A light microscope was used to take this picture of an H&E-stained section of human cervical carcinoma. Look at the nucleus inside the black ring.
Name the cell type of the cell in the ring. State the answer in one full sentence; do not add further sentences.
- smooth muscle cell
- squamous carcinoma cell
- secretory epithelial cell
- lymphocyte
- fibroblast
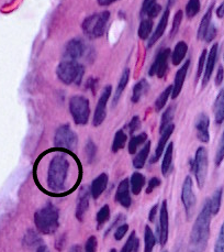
On this particular slide, the cell in the ring is a secretory epithelial cell.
